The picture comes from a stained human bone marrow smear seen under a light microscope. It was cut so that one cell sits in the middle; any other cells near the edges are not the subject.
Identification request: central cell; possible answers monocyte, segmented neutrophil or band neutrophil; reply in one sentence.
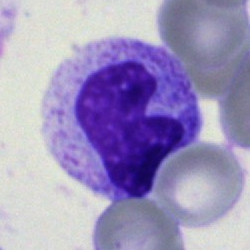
In the middle of this smear crop is a band neutrophil.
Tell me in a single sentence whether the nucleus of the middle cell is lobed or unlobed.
A single compact nucleus, round, oval or kidney-shaped, is what this cell shows.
